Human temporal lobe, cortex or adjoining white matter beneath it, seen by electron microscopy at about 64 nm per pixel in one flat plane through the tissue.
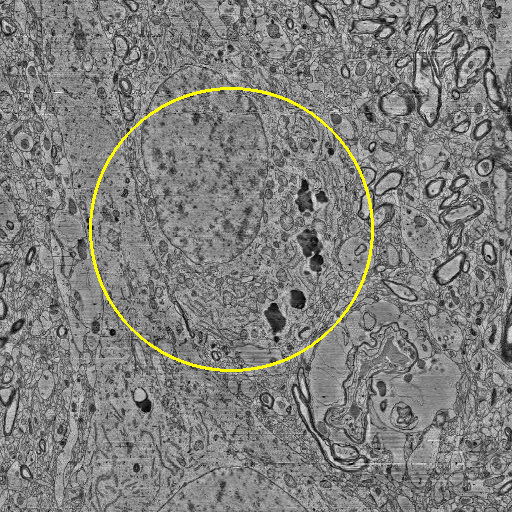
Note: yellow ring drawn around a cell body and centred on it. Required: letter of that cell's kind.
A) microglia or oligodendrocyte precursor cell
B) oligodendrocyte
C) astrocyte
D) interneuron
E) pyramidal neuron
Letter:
D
